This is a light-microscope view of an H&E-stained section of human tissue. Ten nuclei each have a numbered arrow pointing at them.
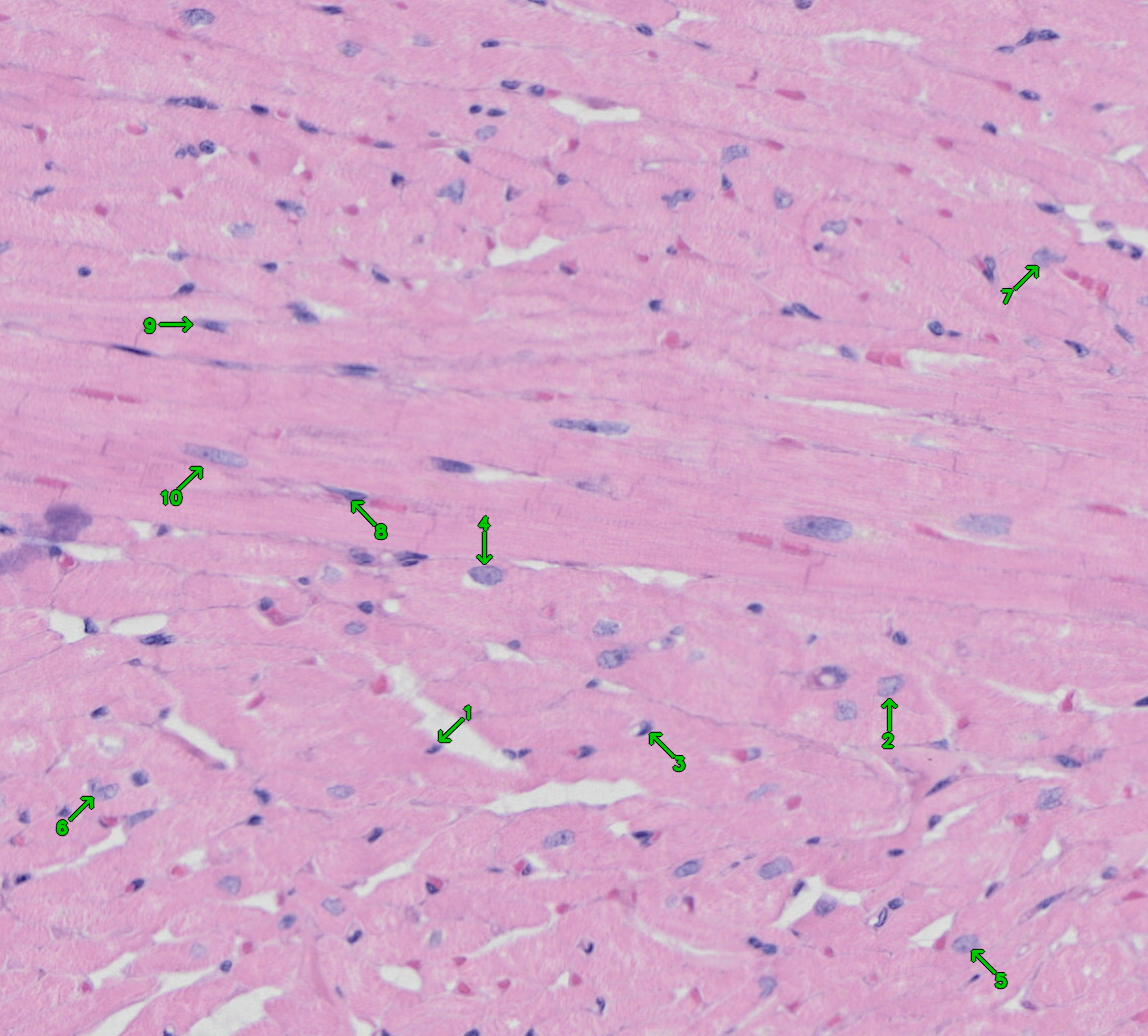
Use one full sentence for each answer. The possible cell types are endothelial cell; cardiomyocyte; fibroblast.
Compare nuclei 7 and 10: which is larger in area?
At about 2 times the area of nucleus 7, nucleus 10 is the larger of the two.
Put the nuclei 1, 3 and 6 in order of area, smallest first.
By area, going up from the smallest, they rank 1, 3, 6.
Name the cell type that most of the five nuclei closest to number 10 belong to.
Endothelial cells account for more than half of the five nuclei nearest to number 10.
